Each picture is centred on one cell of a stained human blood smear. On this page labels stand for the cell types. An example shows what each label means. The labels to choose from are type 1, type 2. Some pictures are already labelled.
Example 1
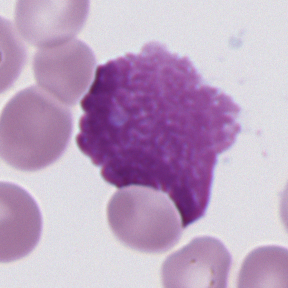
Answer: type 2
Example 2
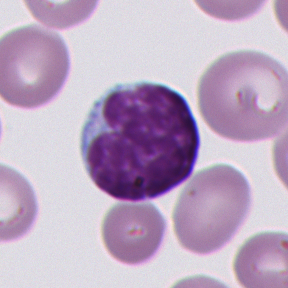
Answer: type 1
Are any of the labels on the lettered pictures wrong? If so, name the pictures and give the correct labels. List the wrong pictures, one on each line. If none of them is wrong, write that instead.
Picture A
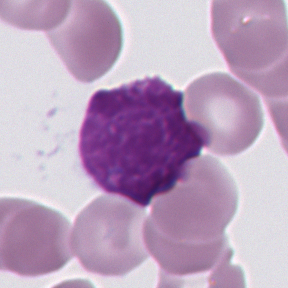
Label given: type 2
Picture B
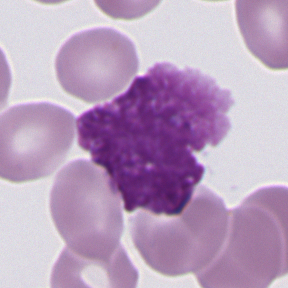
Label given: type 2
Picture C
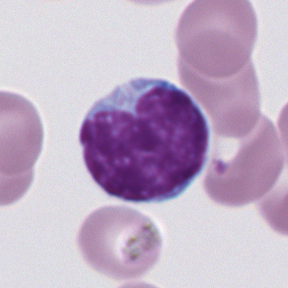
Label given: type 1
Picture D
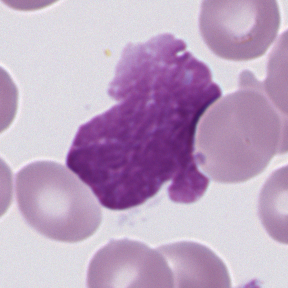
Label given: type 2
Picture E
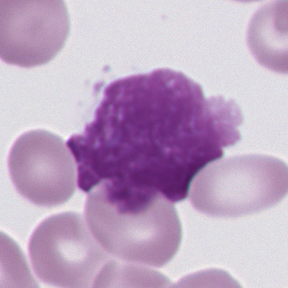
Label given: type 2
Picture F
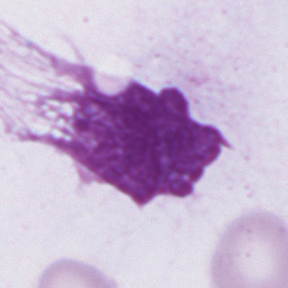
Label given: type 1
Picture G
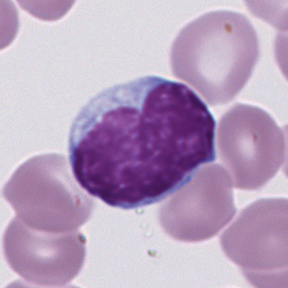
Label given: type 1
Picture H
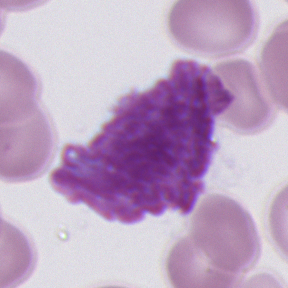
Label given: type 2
F: change type 1 to type 2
